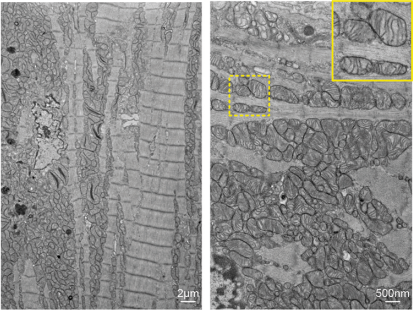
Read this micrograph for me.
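This electron micrograph of heart muscle shows cardiac muscle cells whose myofibrils, with their regular cross-banded sarcomeres, are separated by mitochondria. The mitochondria are small and numerous and are crowded together into broad clusters rather than single orderly rows. Many of them in the middle of these clusters have no contact with a myofibril. The mitochondria vary in shape, and the inset shows several elongated and irregular profiles with internal cristae lying between myofibrils. At lower magnification a pale, disorganized region is seen among the clustered mitochondria.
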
